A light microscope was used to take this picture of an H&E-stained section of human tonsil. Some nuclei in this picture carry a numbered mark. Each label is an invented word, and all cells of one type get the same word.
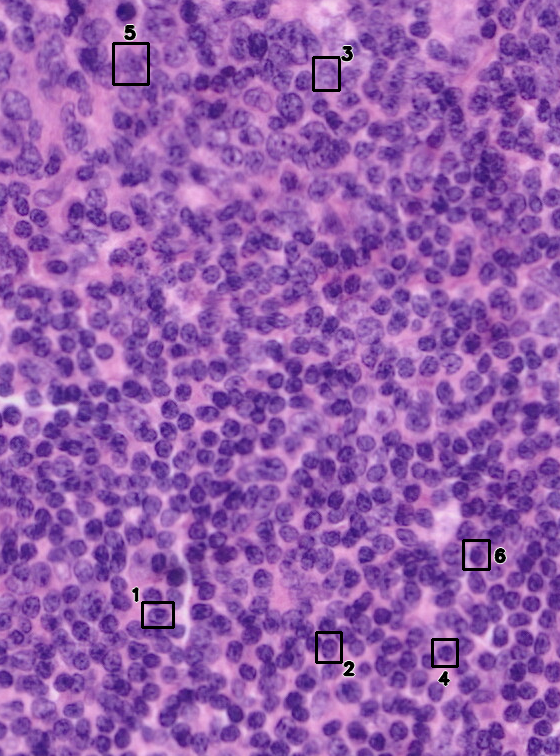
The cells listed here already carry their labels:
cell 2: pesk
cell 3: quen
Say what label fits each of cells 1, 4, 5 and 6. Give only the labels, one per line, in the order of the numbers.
pesk
pesk
quen
pesk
